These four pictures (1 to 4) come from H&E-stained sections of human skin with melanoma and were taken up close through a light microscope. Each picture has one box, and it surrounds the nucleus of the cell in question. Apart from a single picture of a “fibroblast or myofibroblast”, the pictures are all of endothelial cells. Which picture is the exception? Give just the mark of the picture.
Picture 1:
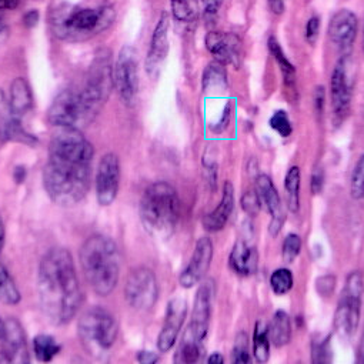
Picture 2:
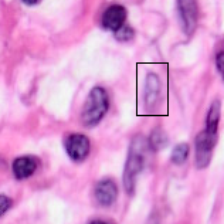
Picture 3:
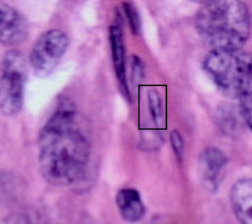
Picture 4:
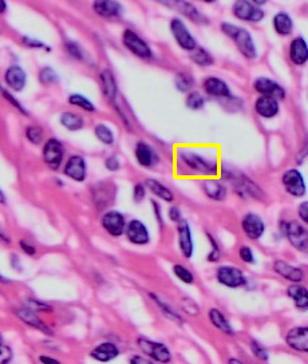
2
